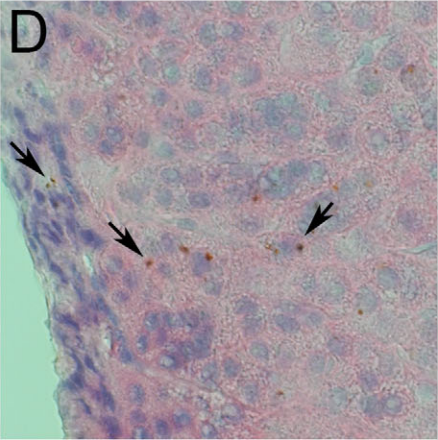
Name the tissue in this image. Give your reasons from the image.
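A thin outer layer of flattened dark nuclei at the left edge. Large cells with pale pink cytoplasm and round nuclei arranged in cords beneath it.
Answer: Adrenal cortex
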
